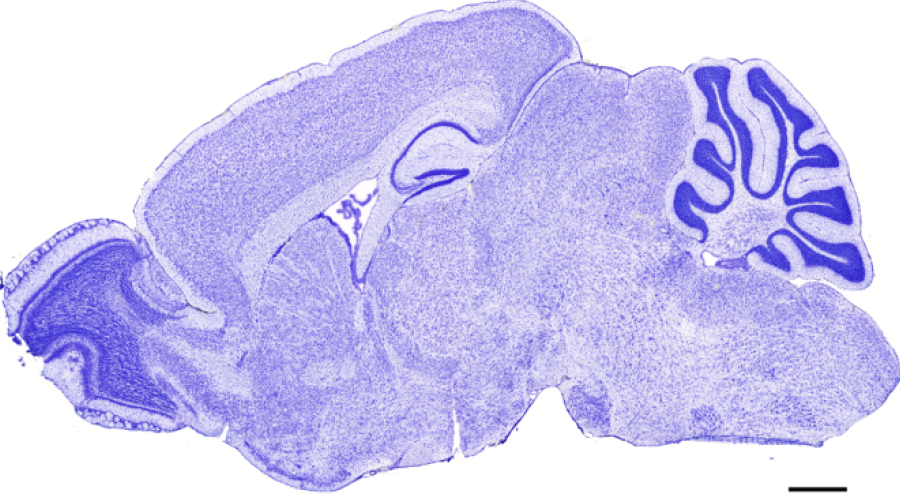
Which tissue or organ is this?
Brains.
